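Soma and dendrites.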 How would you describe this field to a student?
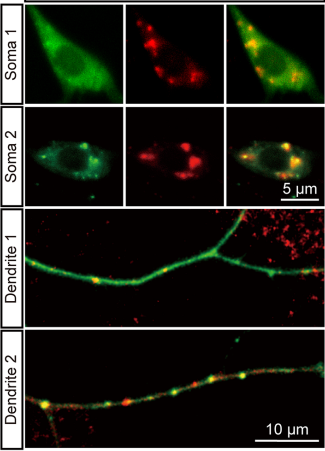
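In the cell bodies, green fluorescence fills the cytoplasm around a dark, unlabelled round nucleus. In one cell body it is fairly even. In the other it gathers into bright spots. Some green swellings coincide with the red puncta.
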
